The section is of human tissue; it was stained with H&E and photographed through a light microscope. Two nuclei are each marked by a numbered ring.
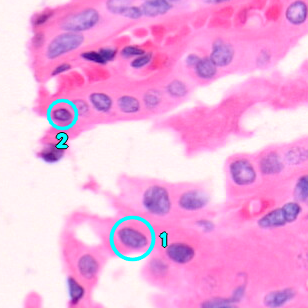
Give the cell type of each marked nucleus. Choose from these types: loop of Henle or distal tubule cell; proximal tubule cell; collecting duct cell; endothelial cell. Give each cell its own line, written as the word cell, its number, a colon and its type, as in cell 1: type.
cell 1: loop of Henle or distal tubule cell
cell 2: collecting duct cell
